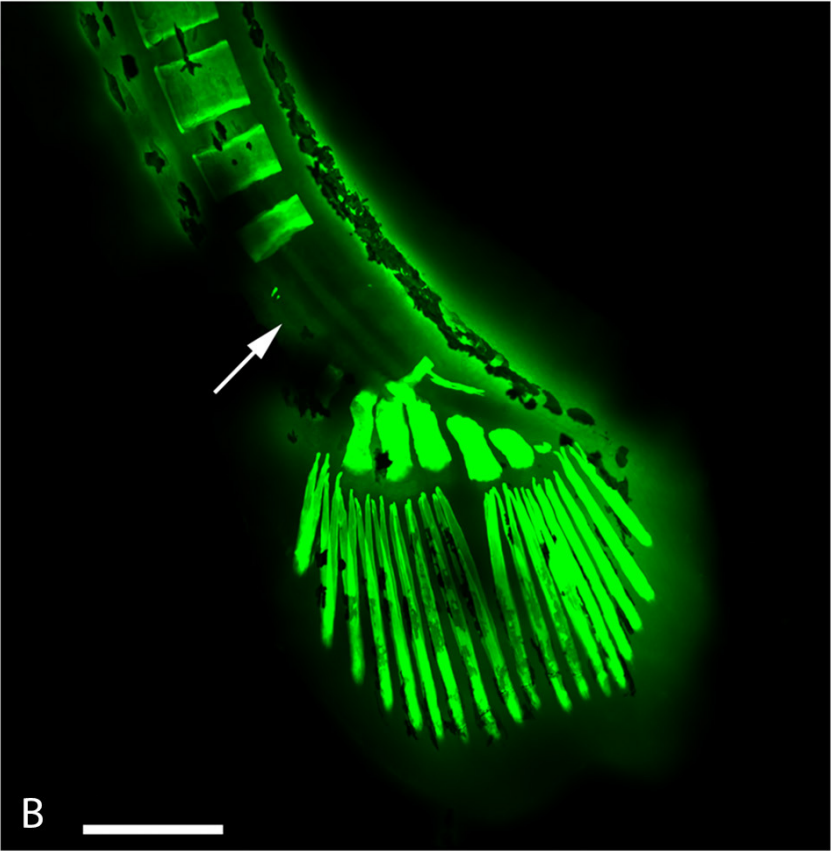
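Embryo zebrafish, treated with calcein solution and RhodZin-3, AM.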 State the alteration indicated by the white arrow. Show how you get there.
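The arrow points to a stretch of the spine behind the last bright vertebral blocks. In that stretch the axis has only faint green fluorescence, with no bright segmented bone blocks.
Areas of decalcification.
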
